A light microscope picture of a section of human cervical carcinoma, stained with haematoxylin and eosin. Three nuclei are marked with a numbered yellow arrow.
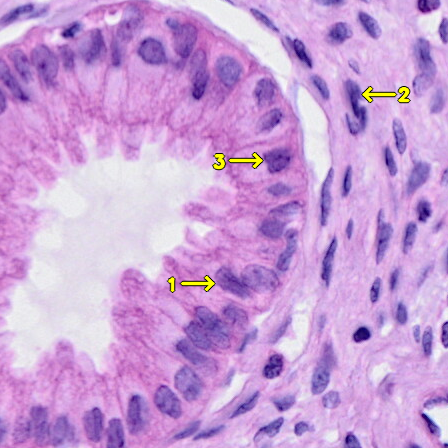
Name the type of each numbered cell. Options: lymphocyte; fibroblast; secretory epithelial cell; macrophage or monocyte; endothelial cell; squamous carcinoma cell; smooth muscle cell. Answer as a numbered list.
1. secretory epithelial cell
2. fibroblast
3. secretory epithelial cell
